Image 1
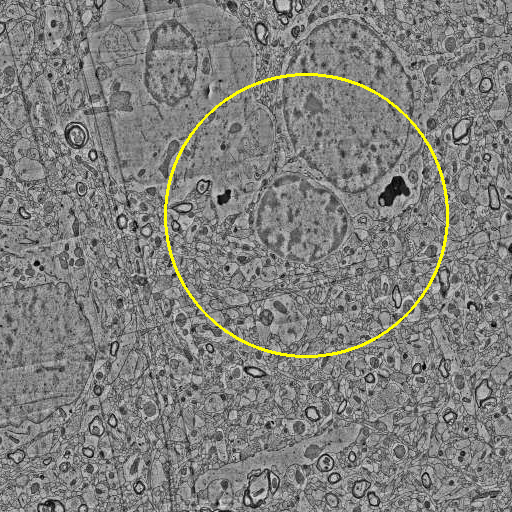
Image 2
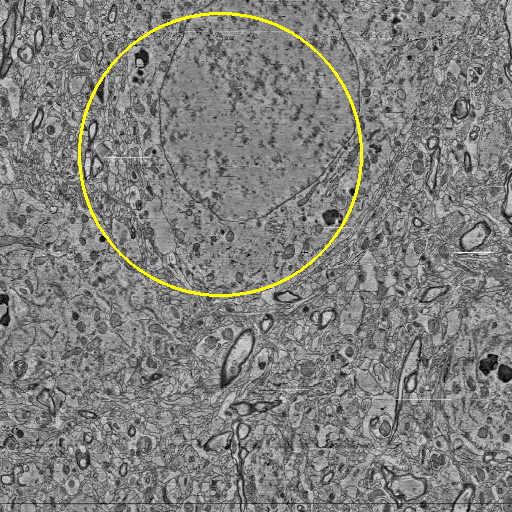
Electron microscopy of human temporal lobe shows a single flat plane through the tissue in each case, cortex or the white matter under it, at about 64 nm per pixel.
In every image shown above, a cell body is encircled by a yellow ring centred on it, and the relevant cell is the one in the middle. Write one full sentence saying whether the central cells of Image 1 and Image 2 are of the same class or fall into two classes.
The cell at the ring's centre in Image 1 and its counterpart in Image 2 fall into two classes.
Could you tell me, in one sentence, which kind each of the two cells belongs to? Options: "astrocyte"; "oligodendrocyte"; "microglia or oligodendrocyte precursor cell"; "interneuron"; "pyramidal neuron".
At the centre of the first ring sits an oligodendrocyte, and at the centre of the second sits a pyramidal neuron.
